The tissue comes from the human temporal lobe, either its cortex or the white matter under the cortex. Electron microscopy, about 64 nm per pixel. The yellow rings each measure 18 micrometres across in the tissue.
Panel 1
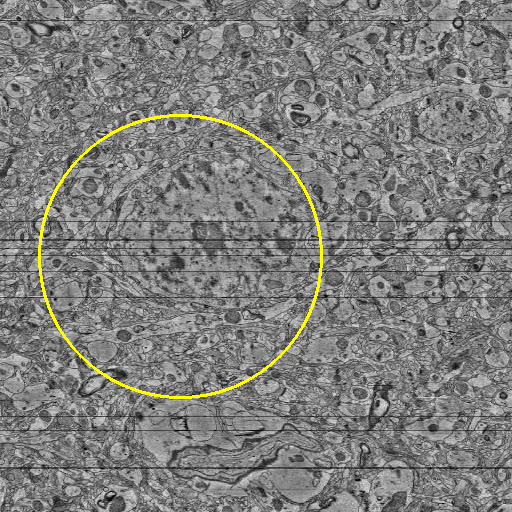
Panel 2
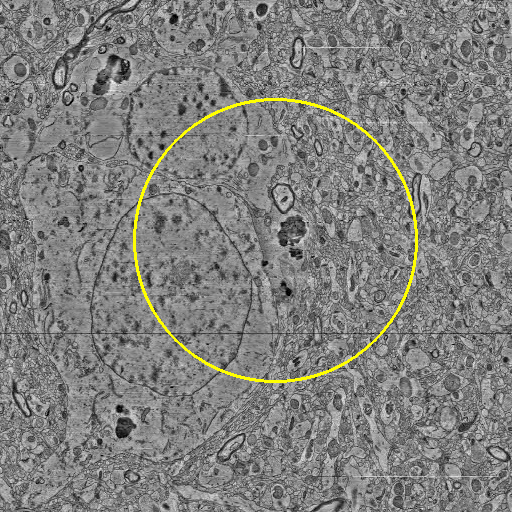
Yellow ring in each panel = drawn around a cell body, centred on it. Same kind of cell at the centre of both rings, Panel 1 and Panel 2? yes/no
no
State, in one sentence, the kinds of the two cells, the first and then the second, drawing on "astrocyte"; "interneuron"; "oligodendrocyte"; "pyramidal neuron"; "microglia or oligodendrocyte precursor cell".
The ring in the second picture is centred on an oligodendrocyte, the ring in the first on an interneuron.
